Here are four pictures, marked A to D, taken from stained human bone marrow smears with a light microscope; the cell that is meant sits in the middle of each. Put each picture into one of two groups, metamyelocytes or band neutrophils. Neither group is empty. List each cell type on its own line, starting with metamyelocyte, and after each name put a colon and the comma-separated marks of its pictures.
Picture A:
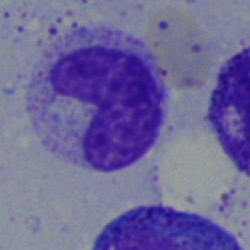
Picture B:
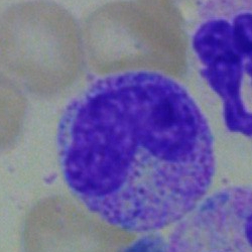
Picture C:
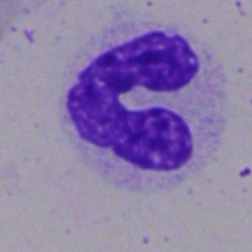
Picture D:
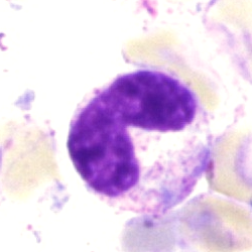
metamyelocyte: A
band neutrophil: B, C, D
